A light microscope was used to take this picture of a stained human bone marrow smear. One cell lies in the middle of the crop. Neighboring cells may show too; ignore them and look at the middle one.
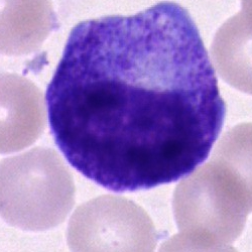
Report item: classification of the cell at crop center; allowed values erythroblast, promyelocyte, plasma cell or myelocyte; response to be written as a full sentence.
The identification for the central cell is a promyelocyte.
